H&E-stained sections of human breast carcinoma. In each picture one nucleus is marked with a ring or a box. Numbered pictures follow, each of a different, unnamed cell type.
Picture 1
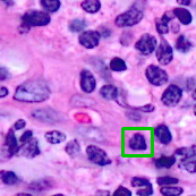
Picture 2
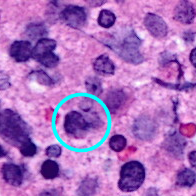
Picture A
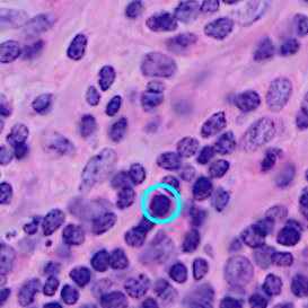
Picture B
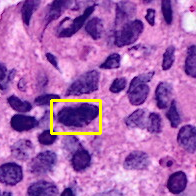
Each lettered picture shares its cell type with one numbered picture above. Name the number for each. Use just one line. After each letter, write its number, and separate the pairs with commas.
A 1, B 2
